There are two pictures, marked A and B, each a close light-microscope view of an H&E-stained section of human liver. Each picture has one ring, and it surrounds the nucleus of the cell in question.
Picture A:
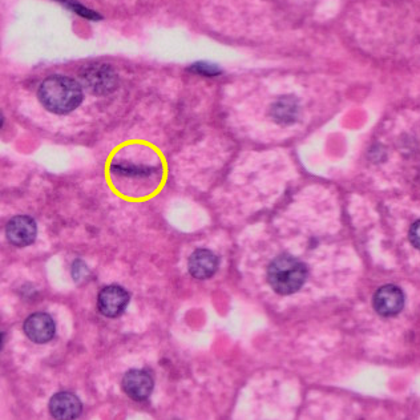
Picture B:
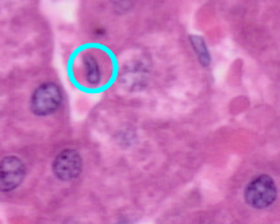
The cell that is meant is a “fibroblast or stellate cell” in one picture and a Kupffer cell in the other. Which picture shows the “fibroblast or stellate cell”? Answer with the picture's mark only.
A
